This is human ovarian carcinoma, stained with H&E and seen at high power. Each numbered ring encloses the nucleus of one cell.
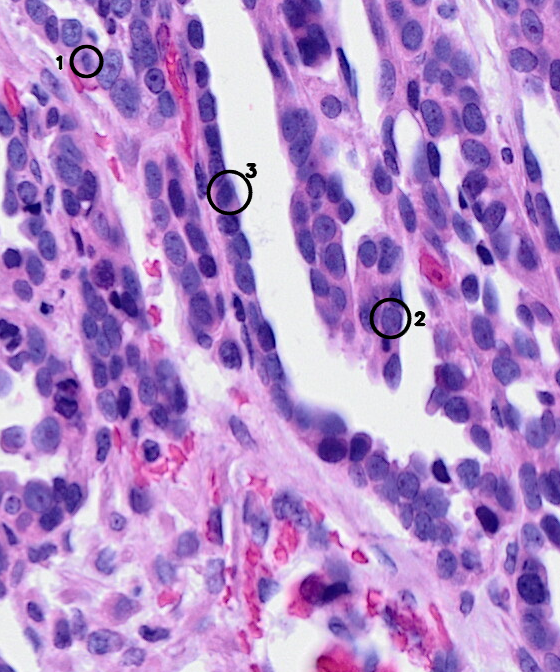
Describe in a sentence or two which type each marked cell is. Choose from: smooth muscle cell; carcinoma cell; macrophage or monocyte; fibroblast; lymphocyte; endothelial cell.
Cell 1 is a macrophage or monocyte. Cells 2 and 3 are carcinoma cells.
